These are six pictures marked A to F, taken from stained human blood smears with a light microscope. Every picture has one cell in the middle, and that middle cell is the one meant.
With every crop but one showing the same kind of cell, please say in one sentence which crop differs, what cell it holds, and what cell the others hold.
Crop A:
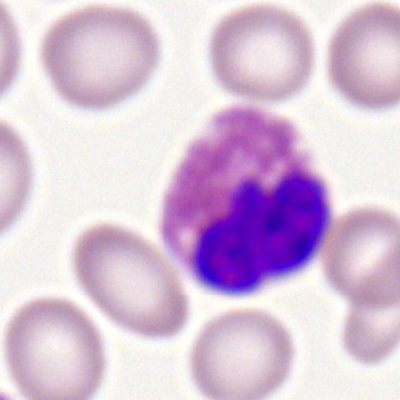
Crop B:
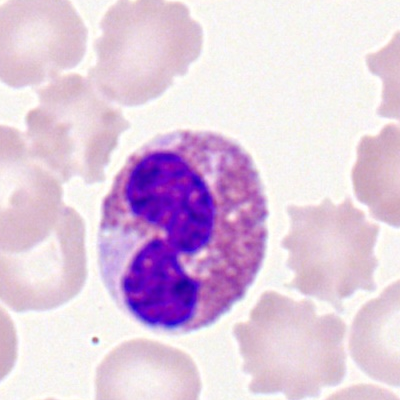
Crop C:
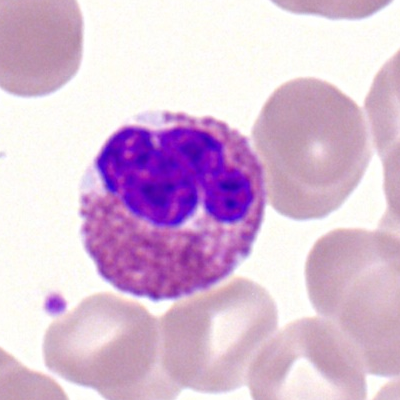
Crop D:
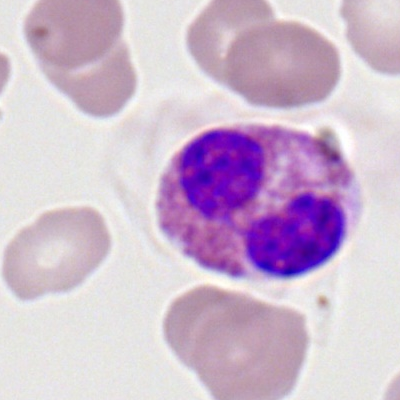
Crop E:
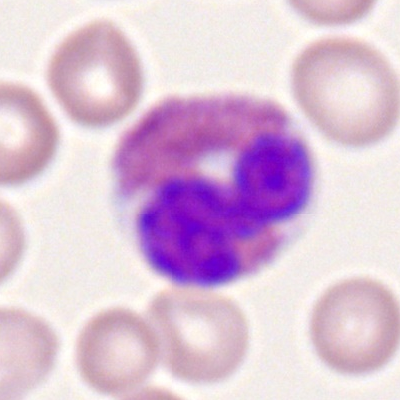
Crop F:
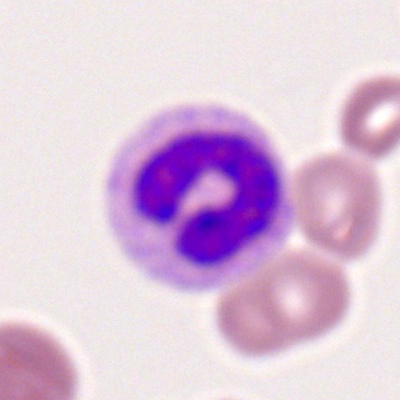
Crop F is different, showing a band neutrophil, whereas all the others show eosinophils.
